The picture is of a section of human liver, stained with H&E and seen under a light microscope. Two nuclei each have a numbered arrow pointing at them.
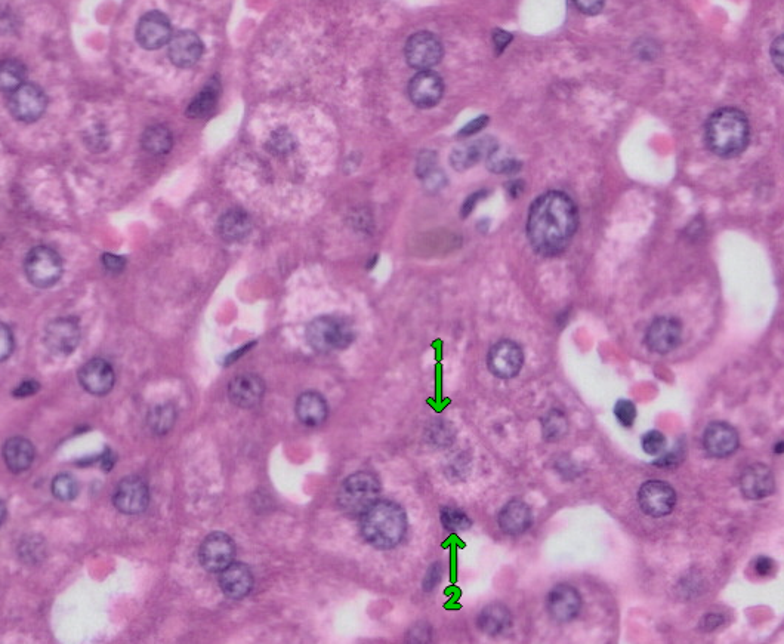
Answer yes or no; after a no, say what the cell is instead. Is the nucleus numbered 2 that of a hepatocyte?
No, it is a fibroblast or stellate cell.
